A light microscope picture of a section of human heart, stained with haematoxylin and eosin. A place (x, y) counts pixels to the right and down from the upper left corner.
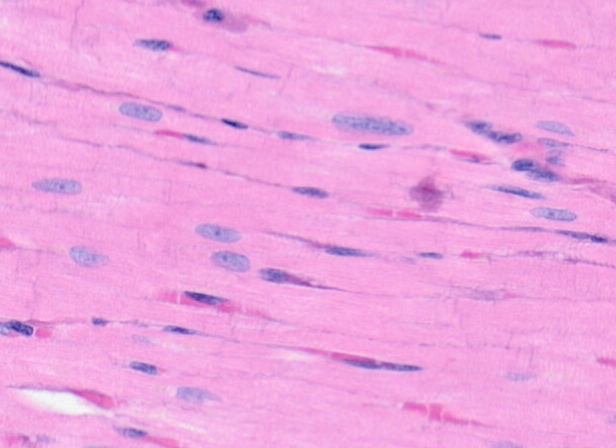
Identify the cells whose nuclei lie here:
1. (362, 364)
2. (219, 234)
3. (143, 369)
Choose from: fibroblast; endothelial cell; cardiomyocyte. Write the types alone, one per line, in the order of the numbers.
endothelial cell
cardiomyocyte
endothelial cell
